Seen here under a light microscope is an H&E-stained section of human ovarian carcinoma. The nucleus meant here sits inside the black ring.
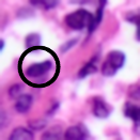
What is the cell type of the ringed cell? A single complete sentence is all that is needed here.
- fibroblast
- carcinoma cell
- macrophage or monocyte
The cell type represented by the ringed cell is that of a carcinoma cell.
